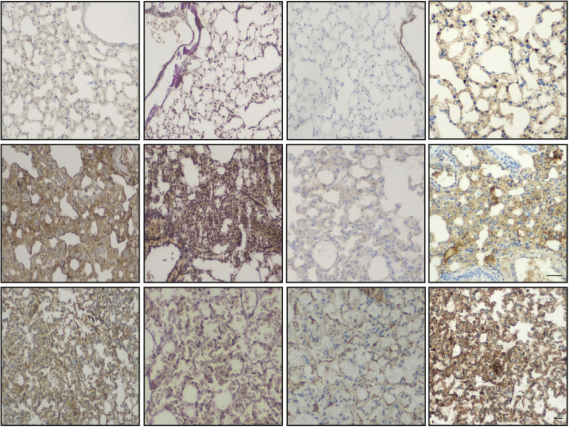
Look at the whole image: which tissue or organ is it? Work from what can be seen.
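Many thin-walled open air spaces in the upper row of images.
Answer: lung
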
